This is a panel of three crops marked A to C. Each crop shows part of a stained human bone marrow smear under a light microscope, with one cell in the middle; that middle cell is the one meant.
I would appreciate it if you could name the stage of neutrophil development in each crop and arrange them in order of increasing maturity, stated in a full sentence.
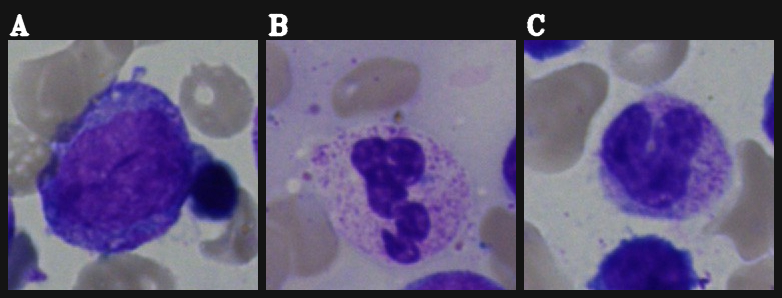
The maturity sequence, least mature to most mature, is crop A (a promyelocyte), crop C (a band neutrophil) and crop B (a segmented neutrophil).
